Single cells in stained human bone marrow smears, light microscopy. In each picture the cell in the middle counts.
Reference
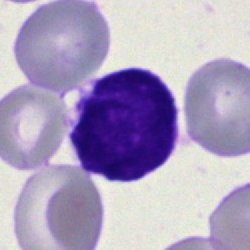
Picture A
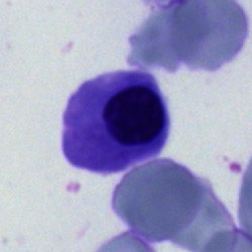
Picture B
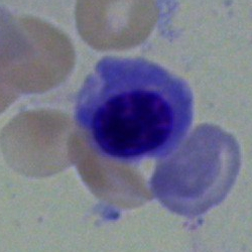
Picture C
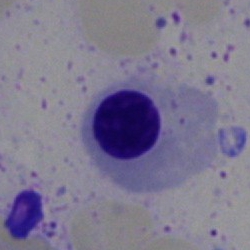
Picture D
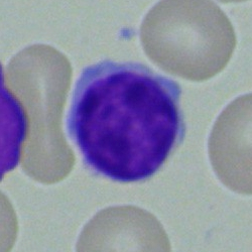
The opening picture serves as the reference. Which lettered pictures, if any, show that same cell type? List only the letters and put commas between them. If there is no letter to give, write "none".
D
